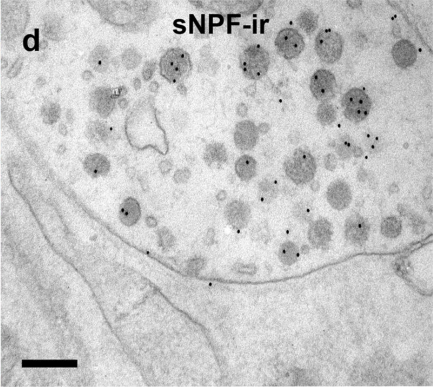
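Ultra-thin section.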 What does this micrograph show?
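Electron micrograph of a nerve fiber profile filled with numerous round dense-core vesicles of varying size and electron density. Many of the vesicles carry small black gold particles, and the profile is bounded by a membrane with neighbouring cell processes at the lower left.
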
